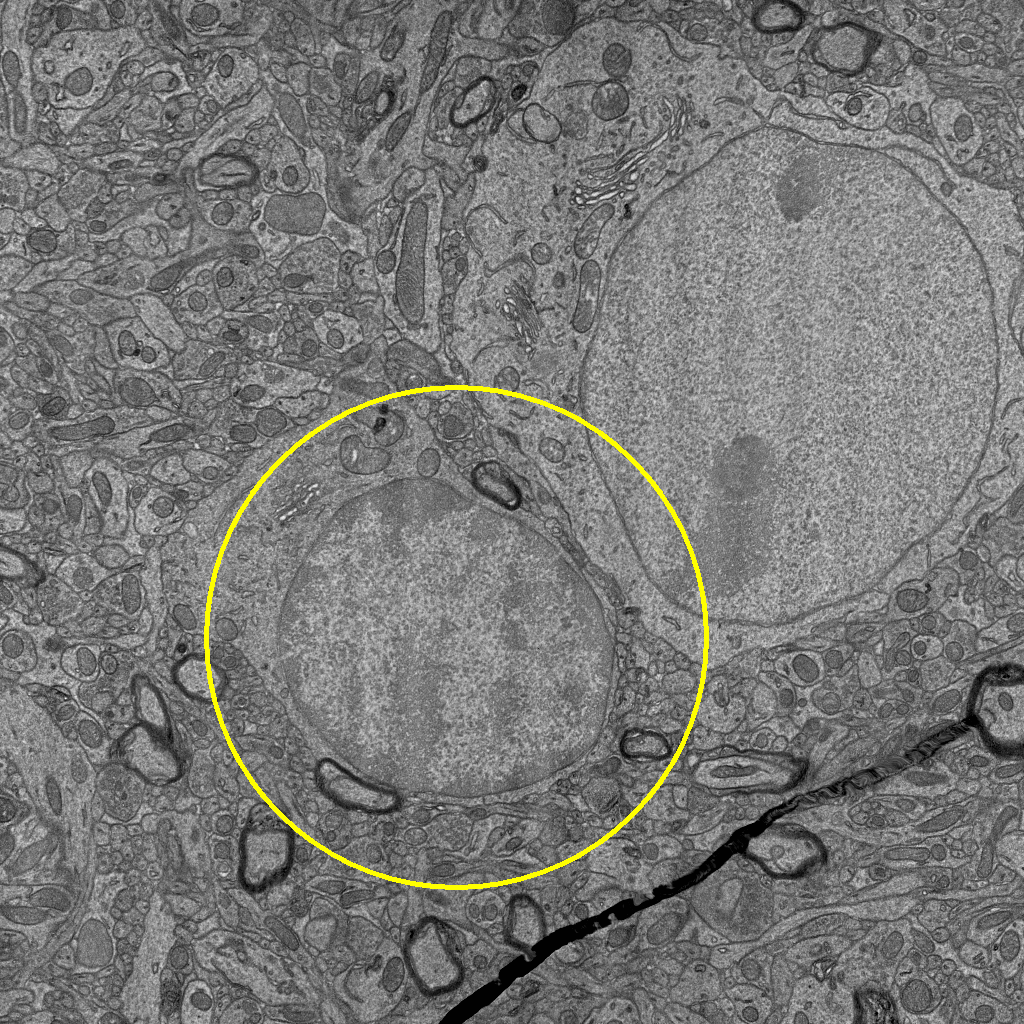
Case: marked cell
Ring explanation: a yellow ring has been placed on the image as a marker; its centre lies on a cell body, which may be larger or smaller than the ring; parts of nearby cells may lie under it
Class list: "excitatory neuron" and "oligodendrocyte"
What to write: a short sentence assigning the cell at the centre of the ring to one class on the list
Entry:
The cell at the ring's centre is an oligodendrocyte.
